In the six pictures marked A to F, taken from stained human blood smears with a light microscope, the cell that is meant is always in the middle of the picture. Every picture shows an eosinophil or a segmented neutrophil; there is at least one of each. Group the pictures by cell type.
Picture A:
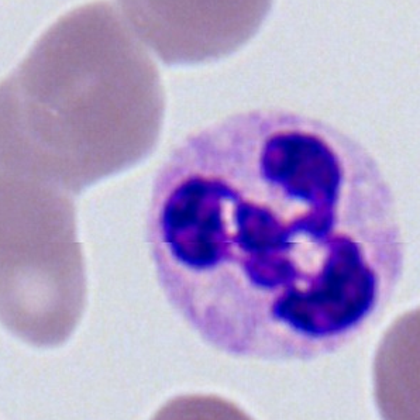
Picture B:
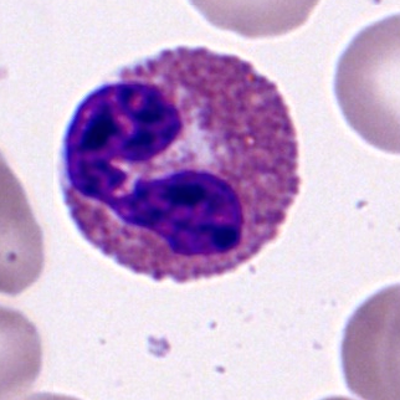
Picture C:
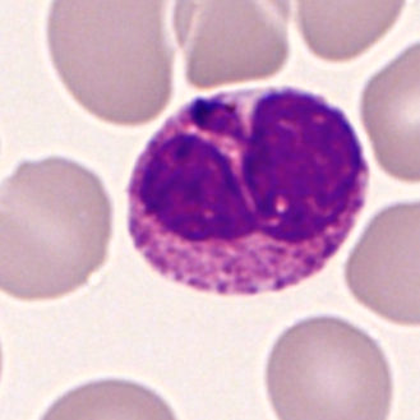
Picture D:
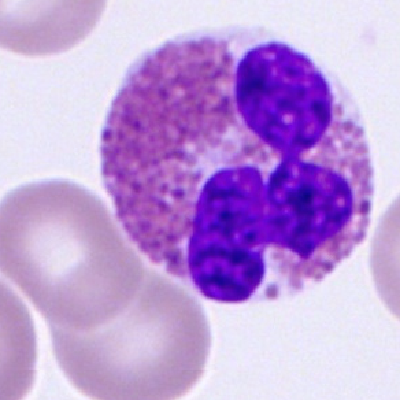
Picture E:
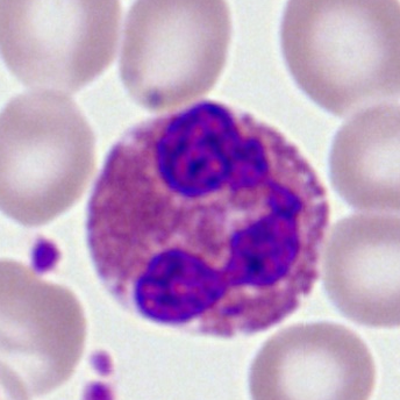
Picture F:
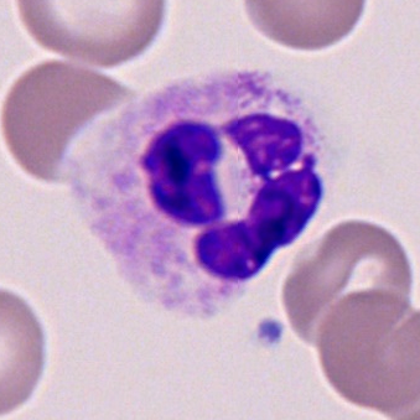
A: segmented neutrophil
B: eosinophil
C: eosinophil
D: eosinophil
E: eosinophil
F: segmented neutrophil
